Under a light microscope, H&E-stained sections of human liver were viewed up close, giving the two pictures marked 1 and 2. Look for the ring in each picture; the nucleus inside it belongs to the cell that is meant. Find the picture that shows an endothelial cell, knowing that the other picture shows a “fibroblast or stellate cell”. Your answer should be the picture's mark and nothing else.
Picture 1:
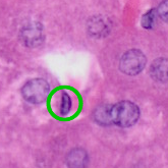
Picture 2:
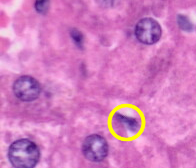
2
